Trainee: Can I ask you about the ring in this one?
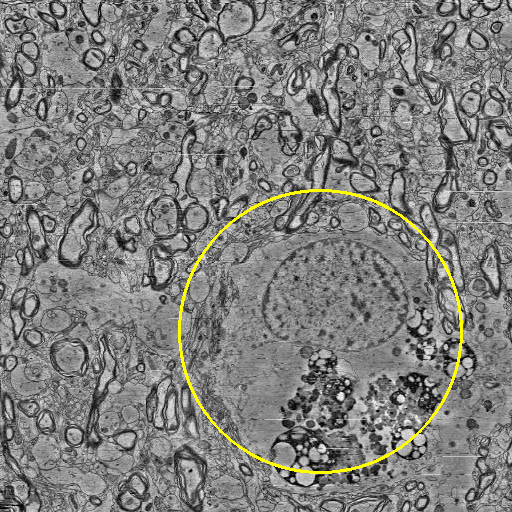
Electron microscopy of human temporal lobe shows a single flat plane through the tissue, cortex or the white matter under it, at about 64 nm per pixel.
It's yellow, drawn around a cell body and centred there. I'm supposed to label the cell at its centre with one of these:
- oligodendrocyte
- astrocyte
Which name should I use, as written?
astrocyte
